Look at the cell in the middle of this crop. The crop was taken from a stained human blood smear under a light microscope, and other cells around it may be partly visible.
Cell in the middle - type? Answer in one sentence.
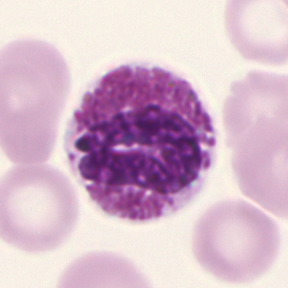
The cell at the middle of the crop is recognized as an eosinophil.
